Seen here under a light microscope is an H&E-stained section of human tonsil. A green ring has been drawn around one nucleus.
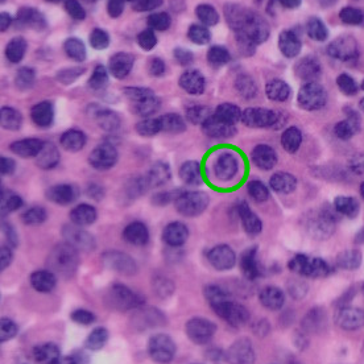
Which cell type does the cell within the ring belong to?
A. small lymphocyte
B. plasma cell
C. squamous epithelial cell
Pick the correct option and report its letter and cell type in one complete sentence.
The correct choice is option B; the cell within the ring is a plasma cell.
